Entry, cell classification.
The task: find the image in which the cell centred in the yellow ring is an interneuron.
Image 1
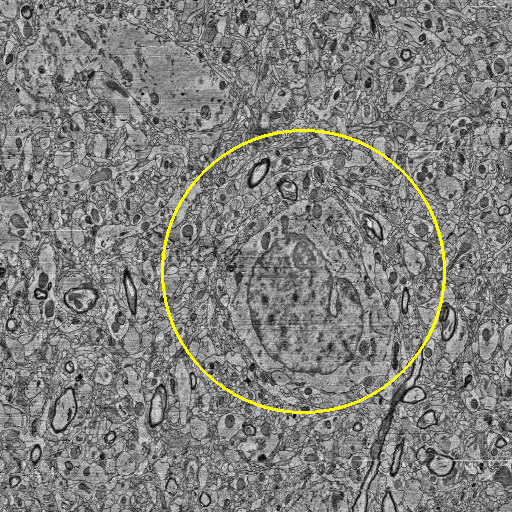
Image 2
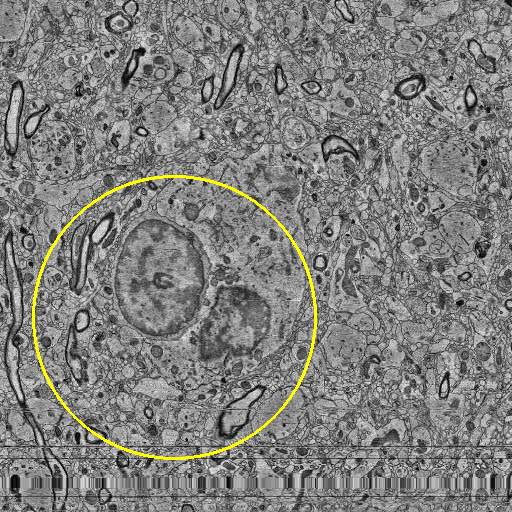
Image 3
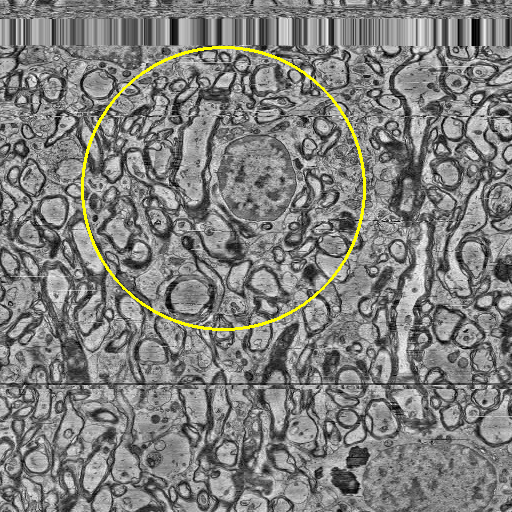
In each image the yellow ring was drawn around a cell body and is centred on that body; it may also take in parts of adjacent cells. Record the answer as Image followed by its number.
Image 1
